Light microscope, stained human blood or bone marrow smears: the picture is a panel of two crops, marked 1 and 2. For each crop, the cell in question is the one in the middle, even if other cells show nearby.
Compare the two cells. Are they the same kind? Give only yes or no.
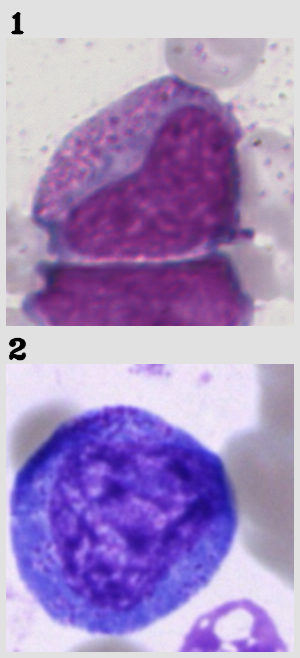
yes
